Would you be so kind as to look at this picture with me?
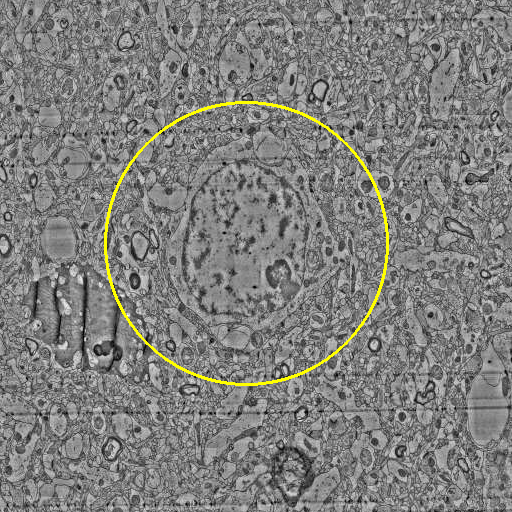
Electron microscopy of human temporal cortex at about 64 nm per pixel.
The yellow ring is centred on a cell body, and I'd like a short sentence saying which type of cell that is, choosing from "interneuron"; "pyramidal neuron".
The cell body in the ring belongs to an interneuron.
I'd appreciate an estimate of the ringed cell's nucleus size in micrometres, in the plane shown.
Approximately 10 micrometres long and 8 micrometres wide, in this plane.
